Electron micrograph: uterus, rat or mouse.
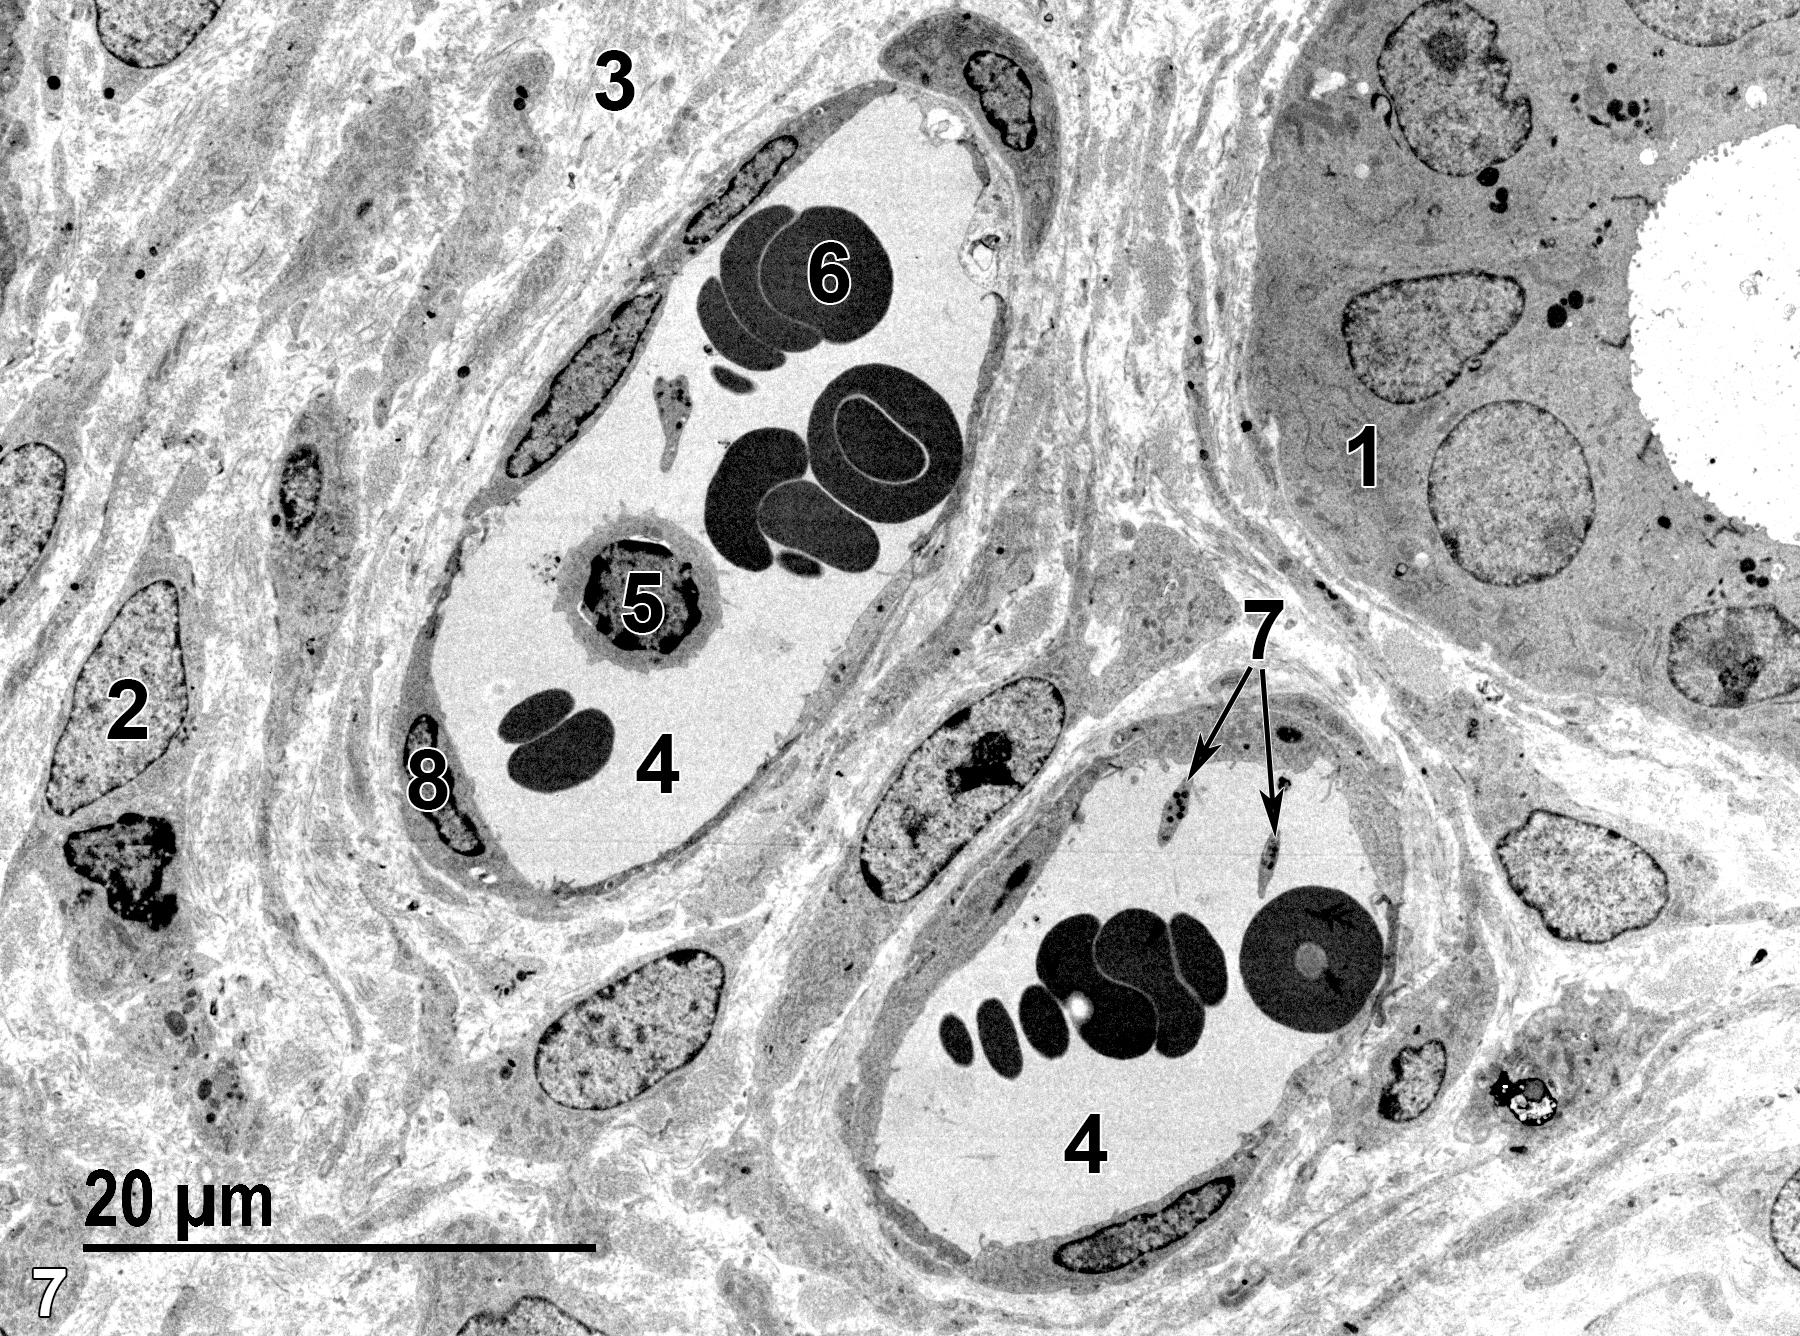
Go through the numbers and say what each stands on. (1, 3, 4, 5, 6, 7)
(1) uterine gland
(3) collagenous matrix
(4) capillary lumens
(5) lymphocyte
(6) erythrocytes
(7) platelets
